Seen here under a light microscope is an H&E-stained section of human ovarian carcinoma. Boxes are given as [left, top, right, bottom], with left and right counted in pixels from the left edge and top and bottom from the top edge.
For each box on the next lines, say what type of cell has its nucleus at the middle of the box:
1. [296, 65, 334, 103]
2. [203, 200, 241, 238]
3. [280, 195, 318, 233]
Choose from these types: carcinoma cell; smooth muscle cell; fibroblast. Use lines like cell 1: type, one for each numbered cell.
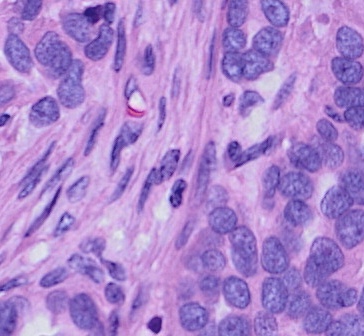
cell 1: fibroblast
cell 2: carcinoma cell
cell 3: carcinoma cell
